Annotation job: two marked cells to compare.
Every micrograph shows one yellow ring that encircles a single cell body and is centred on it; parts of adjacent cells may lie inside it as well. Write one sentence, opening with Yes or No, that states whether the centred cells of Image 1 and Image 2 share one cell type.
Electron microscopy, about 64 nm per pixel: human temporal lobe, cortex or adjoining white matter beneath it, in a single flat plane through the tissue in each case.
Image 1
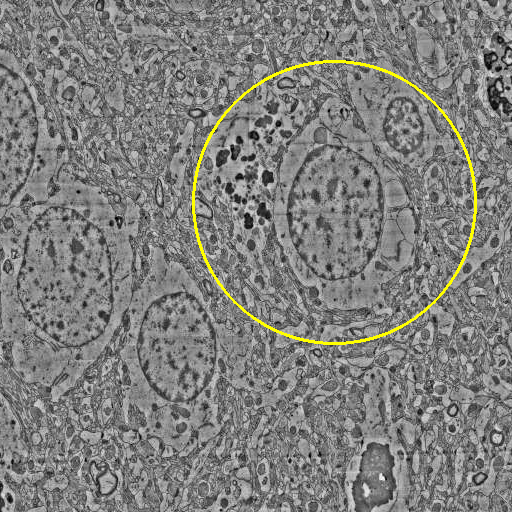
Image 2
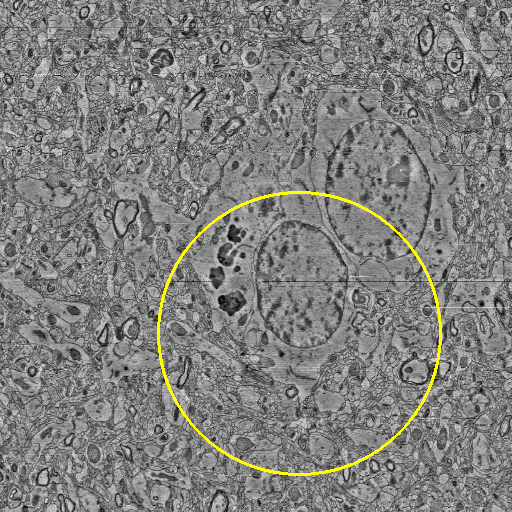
Yes, the cell centred in Image 1 shares its type with the cell centred in Image 2.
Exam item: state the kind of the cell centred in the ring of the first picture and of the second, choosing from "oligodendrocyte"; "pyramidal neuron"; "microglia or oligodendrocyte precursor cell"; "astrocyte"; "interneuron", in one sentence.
In the first picture and in the second, the ring is centred on an astrocyte.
